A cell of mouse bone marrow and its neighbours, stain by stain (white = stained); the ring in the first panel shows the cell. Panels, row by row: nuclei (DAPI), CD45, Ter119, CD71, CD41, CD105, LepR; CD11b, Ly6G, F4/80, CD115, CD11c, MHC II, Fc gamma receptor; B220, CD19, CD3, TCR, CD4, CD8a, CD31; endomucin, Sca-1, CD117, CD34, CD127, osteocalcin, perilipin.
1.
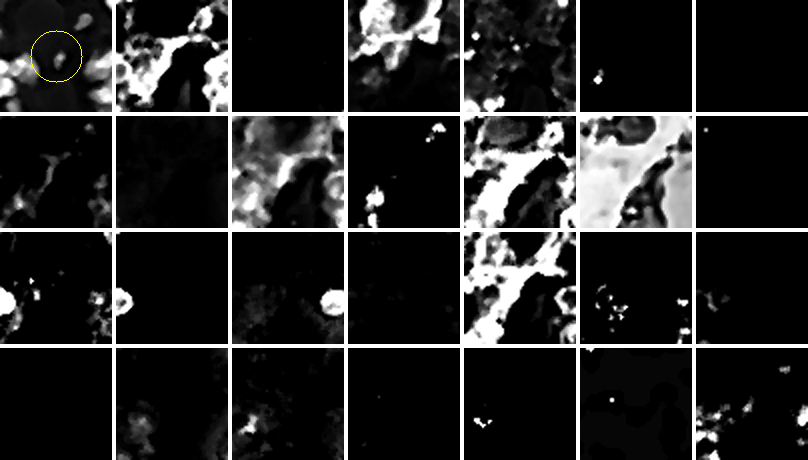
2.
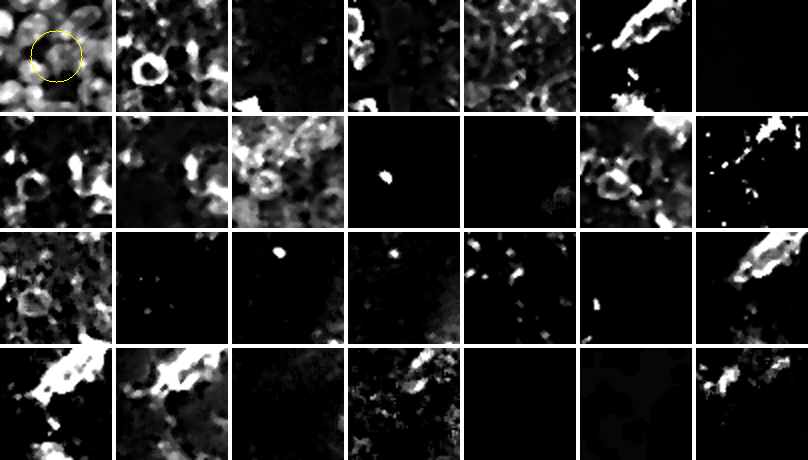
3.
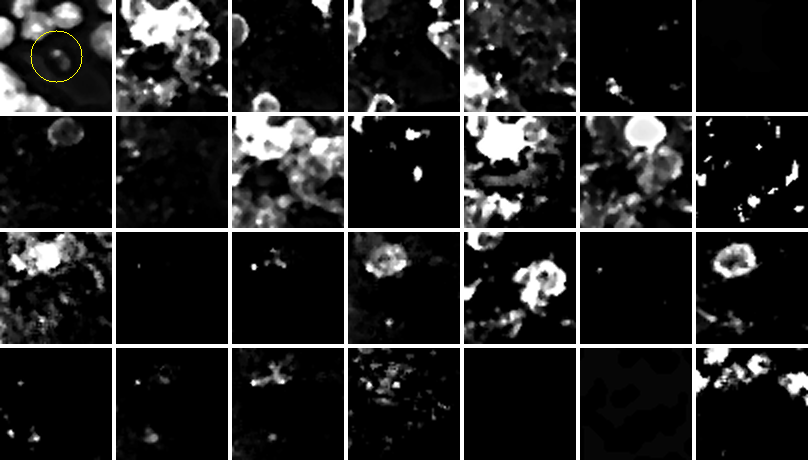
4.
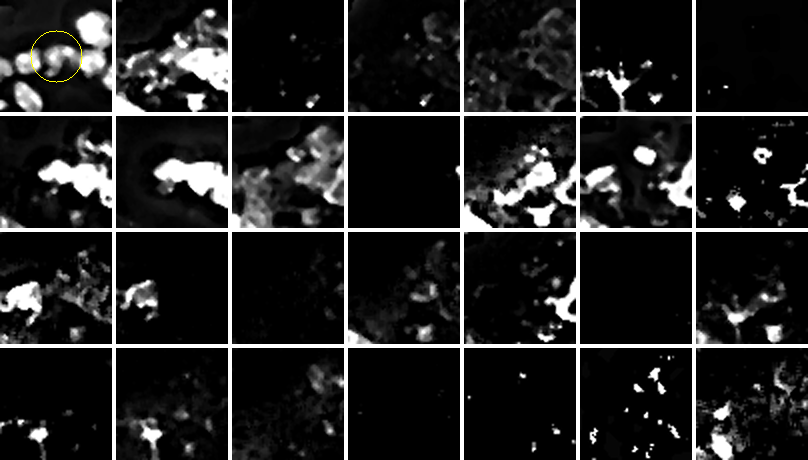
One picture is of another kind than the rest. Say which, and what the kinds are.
Picture 2 shows a capillary endothelial cell; the rest show conventional dendritic cells.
